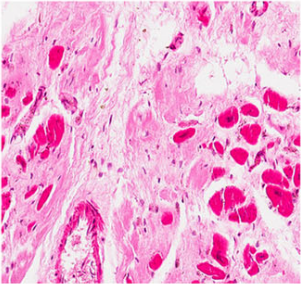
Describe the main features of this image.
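Heart muscle largely replaced by pale pink fibrous tissue, in which only scattered small, rounded islands of deeply pink, hypereosinophilic cardiomyocytes remain. Small dark nuclei are sparsely scattered through the pale fibrous matrix, and a small vessel with a thin wall lies at the lower left.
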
